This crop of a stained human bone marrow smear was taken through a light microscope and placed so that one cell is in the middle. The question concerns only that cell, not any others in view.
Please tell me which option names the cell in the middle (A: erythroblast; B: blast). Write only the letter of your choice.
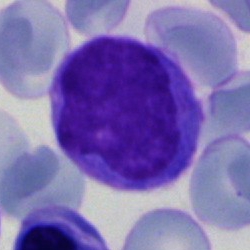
B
